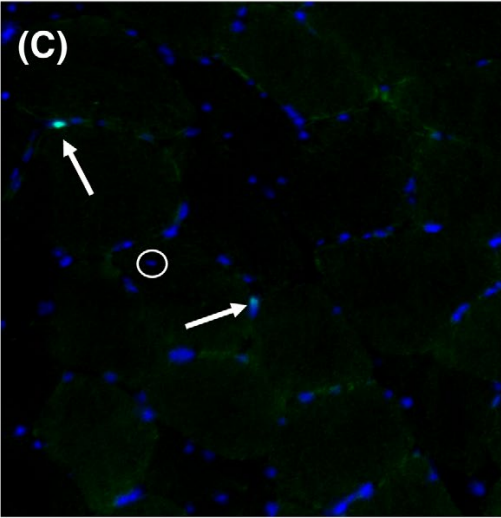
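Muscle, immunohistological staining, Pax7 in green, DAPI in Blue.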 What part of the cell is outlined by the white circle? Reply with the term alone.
Central myonucleus.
